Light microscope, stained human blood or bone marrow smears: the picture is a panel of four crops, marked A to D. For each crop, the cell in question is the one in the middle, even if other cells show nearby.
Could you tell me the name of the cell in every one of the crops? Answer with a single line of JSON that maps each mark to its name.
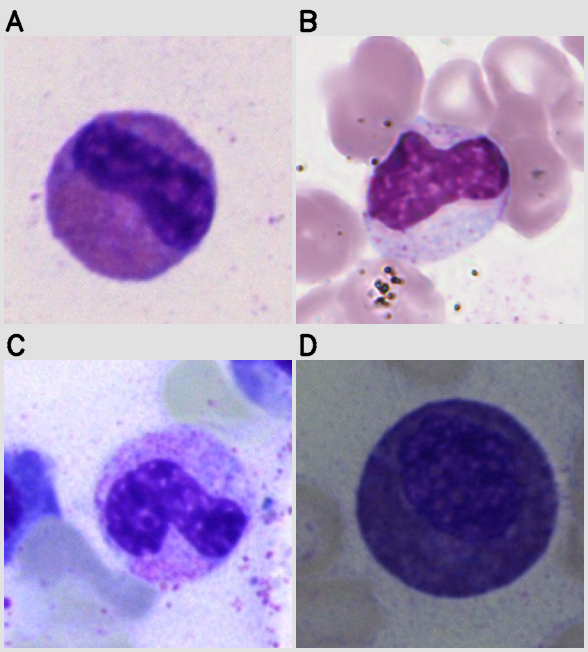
{"A": "eosinophil", "B": "metamyelocyte", "C": "band neutrophil", "D": "eosinophil"}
